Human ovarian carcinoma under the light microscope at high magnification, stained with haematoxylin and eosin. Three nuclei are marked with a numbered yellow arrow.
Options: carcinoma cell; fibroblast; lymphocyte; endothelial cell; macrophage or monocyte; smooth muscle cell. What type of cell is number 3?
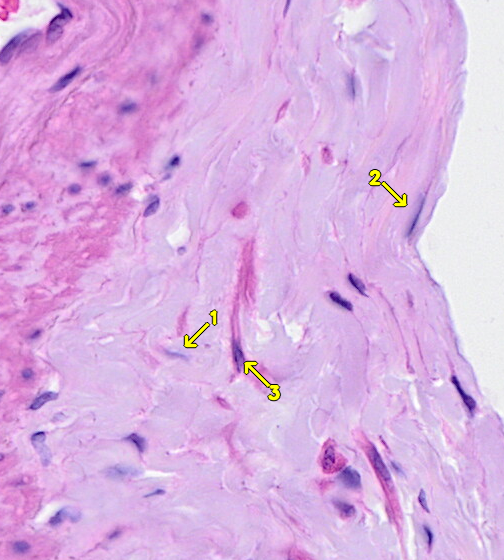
smooth muscle cell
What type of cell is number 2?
fibroblast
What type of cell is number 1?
fibroblast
